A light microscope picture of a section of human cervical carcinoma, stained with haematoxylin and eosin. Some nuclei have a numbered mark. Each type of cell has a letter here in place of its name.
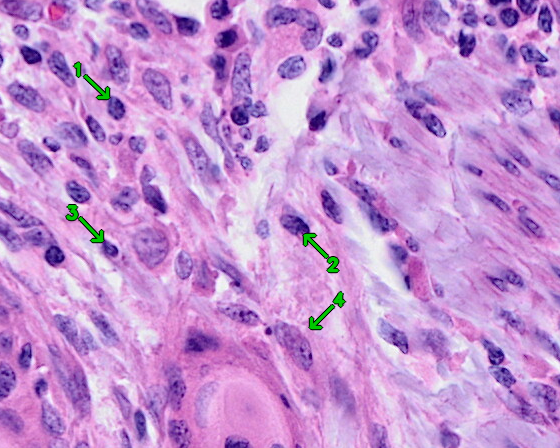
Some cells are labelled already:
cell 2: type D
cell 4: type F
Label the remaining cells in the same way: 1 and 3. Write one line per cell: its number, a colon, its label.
1: type D
3: type D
